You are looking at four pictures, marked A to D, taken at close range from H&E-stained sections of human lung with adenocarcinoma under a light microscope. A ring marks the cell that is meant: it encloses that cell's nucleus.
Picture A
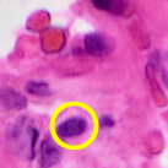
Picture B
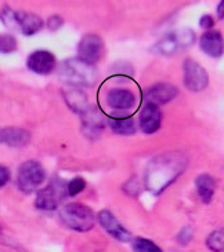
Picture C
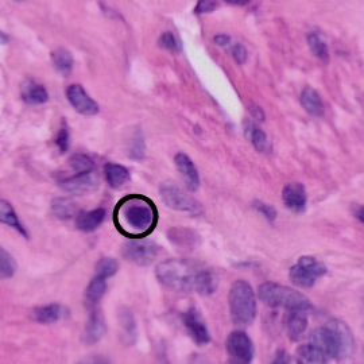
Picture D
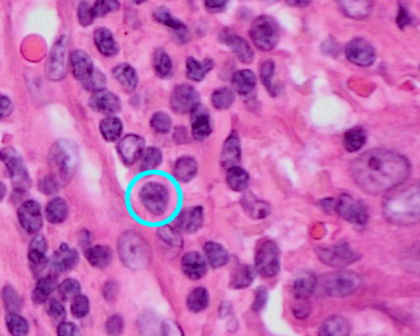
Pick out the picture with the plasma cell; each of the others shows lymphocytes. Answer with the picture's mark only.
C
